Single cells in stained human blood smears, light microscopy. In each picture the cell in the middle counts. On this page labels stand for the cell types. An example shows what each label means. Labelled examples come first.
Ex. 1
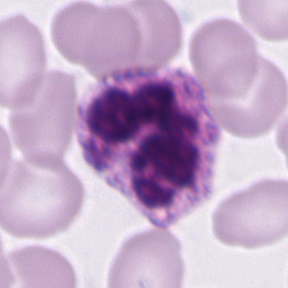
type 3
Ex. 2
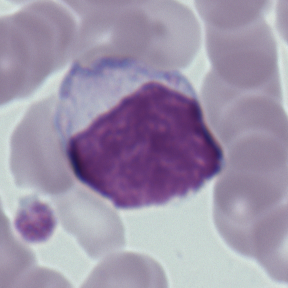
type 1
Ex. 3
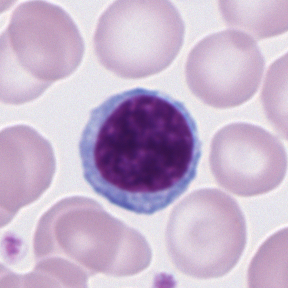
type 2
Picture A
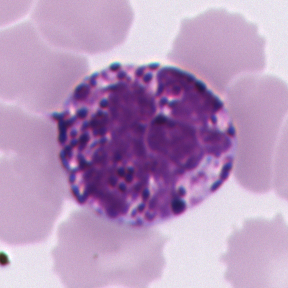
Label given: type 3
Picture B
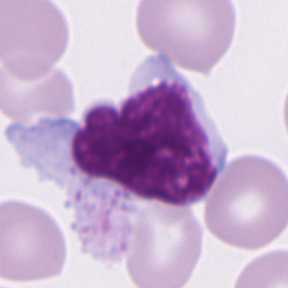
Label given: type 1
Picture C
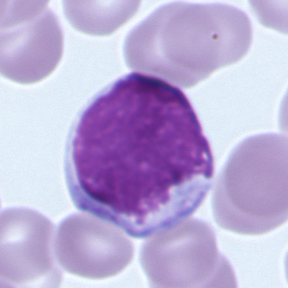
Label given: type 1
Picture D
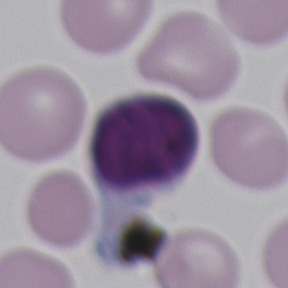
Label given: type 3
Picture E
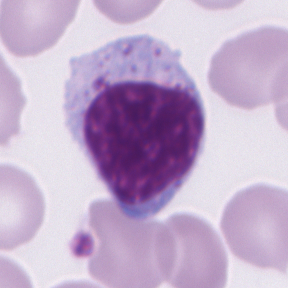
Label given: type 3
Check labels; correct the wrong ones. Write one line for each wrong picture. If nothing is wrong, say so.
D: type 2, not type 3
E: type 1, not type 3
